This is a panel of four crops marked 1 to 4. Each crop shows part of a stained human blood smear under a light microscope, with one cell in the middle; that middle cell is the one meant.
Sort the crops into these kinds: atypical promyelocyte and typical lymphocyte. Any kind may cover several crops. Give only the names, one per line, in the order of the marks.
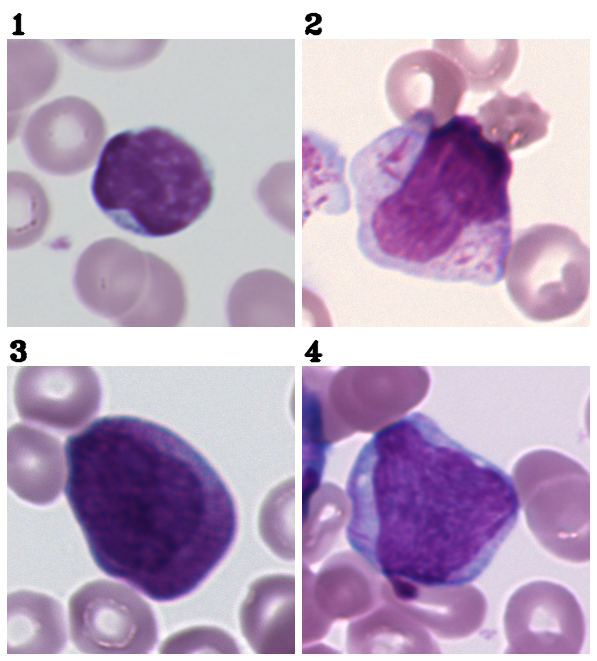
typical lymphocyte
atypical promyelocyte
atypical promyelocyte
atypical promyelocyte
